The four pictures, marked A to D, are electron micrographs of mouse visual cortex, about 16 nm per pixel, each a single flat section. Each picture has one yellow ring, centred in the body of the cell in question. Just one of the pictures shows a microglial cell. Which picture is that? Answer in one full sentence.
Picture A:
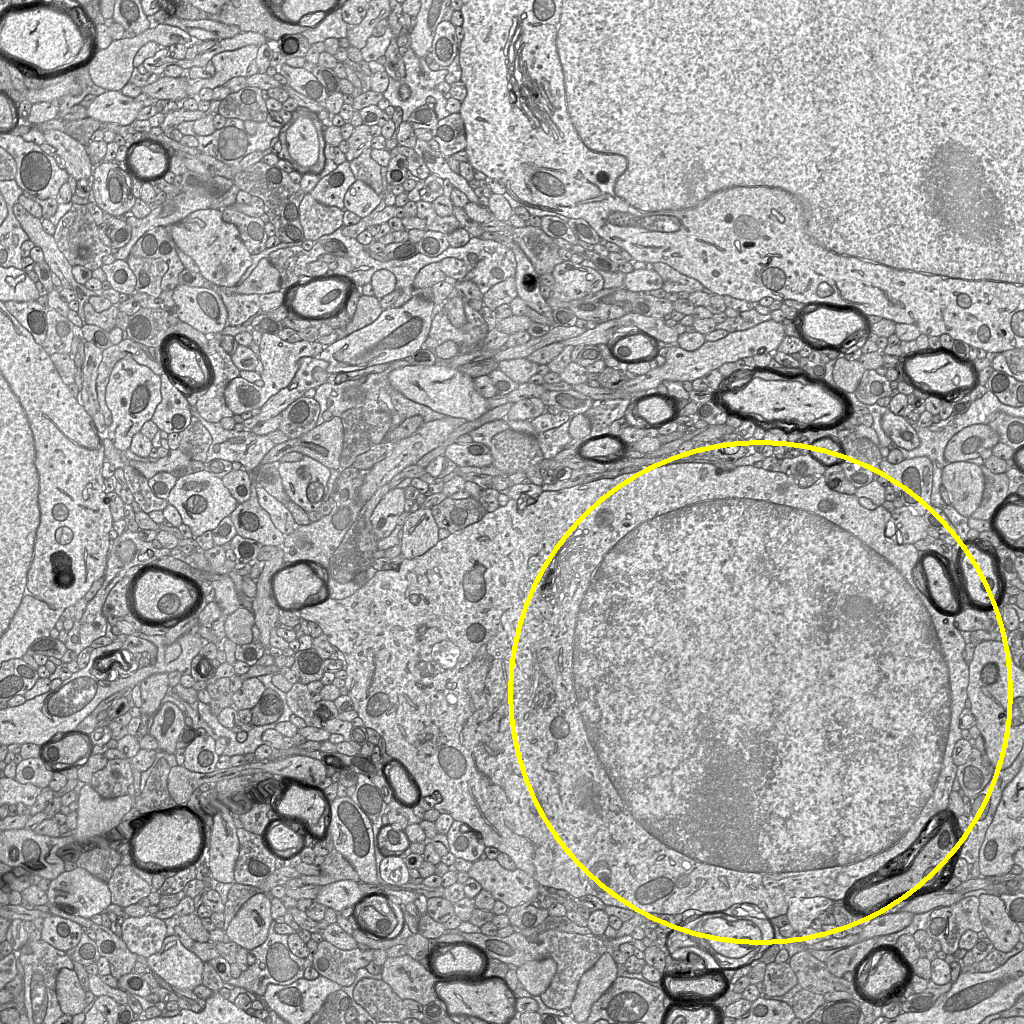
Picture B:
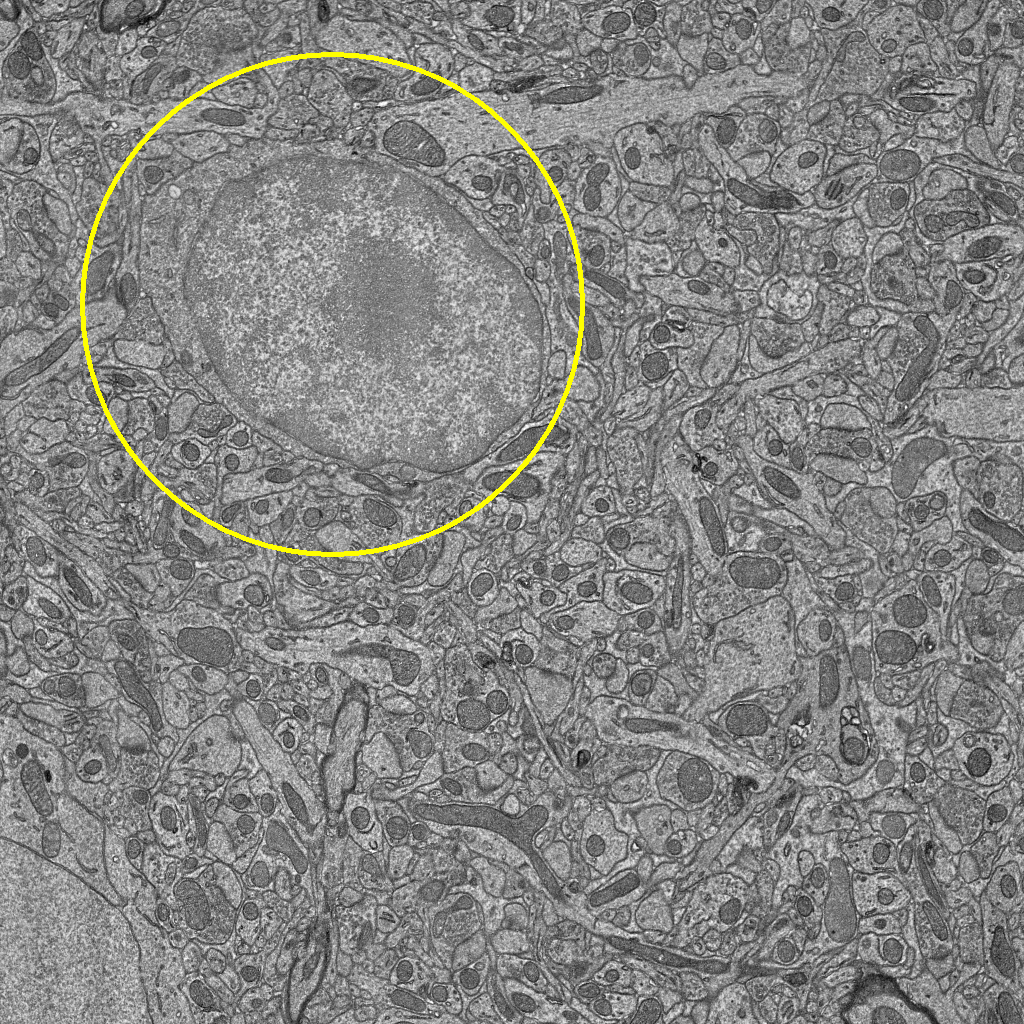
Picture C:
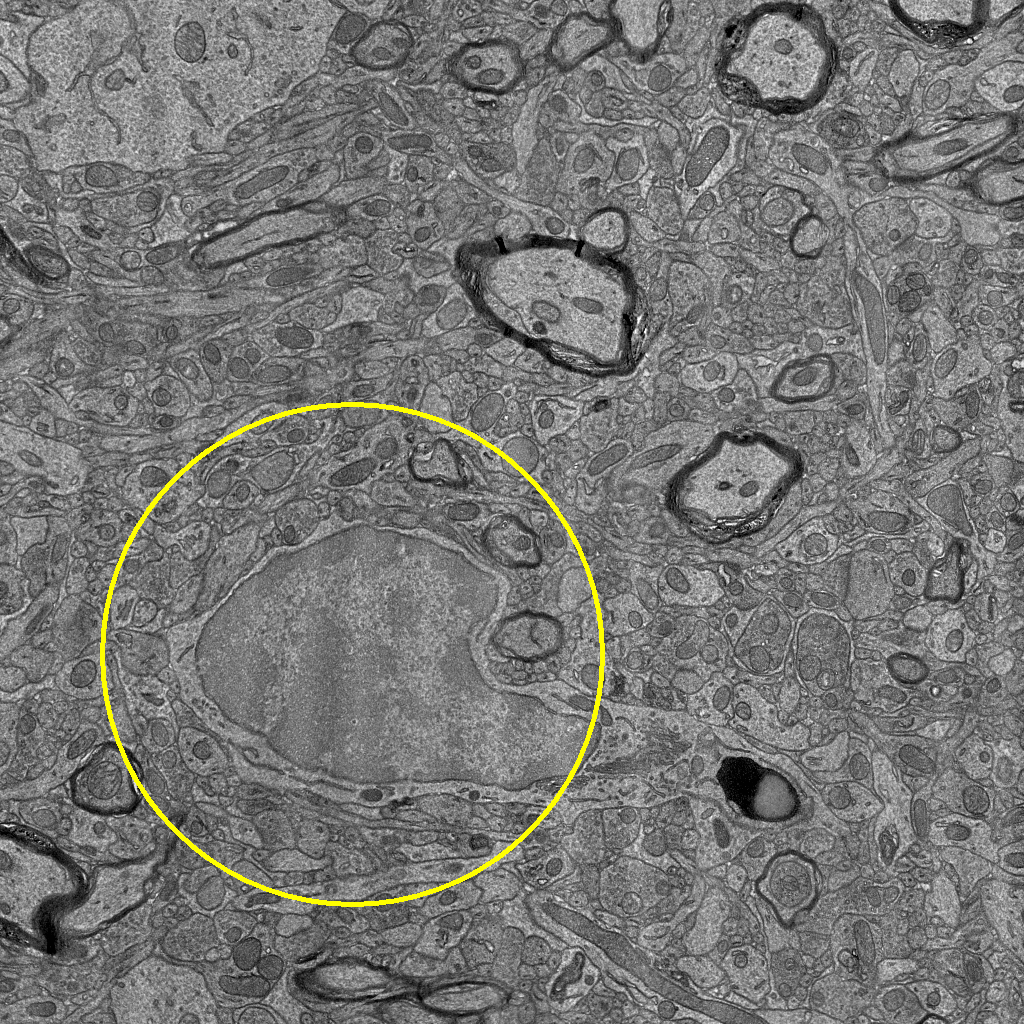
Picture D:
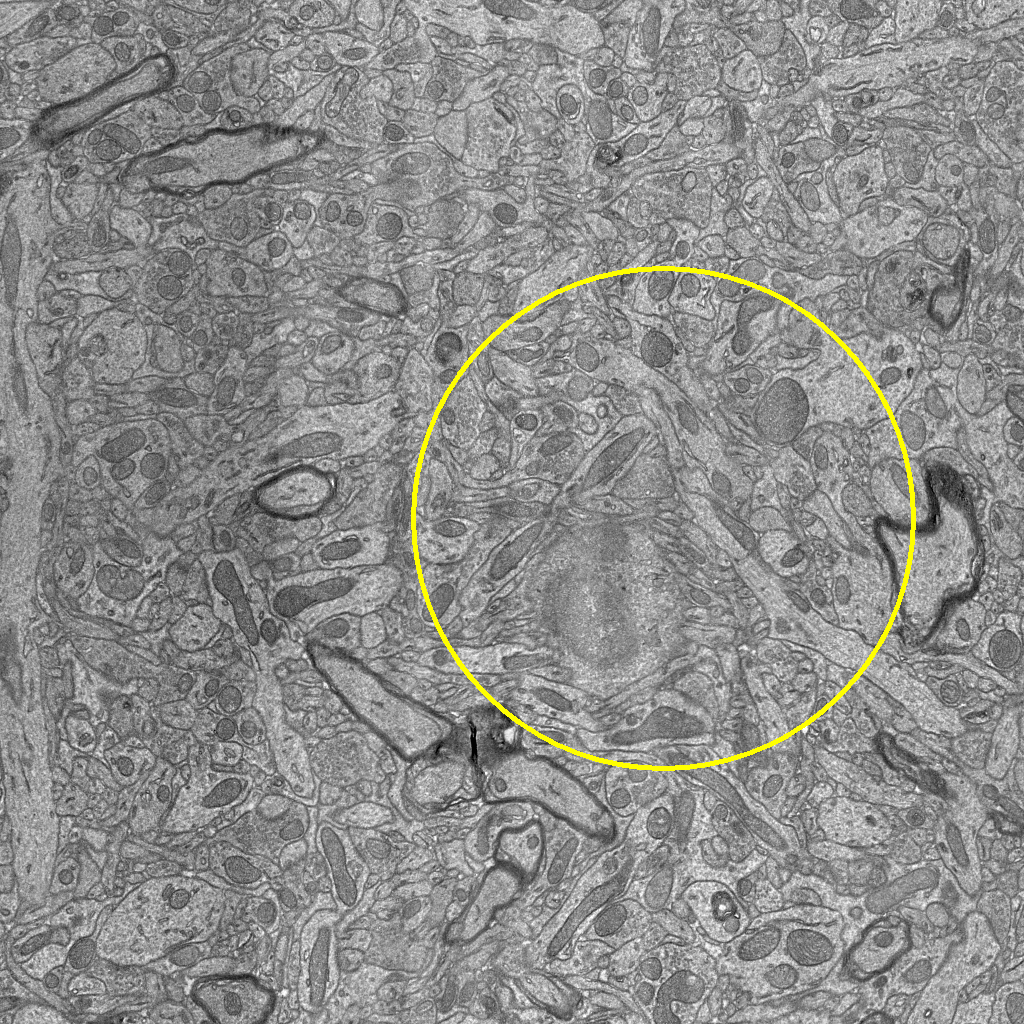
The picture with the microglial cell is C.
